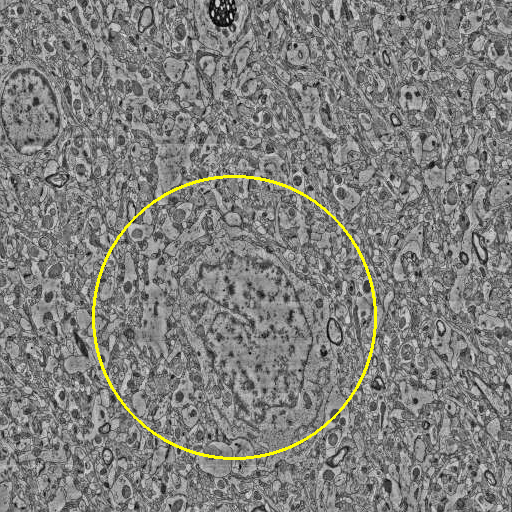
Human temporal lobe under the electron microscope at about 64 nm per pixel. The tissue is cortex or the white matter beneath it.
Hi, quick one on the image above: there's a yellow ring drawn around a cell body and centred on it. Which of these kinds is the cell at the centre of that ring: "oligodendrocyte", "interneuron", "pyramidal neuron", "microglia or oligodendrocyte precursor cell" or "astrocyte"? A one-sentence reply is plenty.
The cell at the centre of the ring is an interneuron.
